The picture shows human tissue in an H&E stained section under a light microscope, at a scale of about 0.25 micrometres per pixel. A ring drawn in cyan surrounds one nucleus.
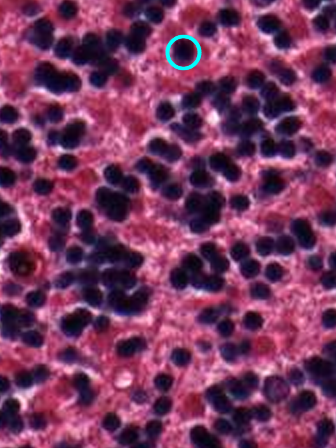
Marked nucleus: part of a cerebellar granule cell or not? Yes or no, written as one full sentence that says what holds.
Yes, the marked nucleus is one that belongs to a cerebellar granule cell.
